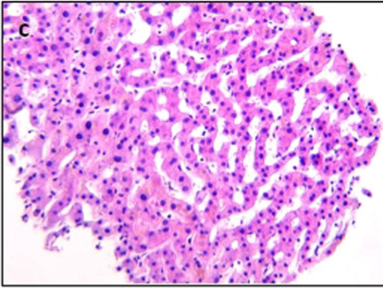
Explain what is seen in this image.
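This is liver tissue made up of hepatocytes arranged in plates that branch and join one another. The hepatocytes are large polygonal cells with pink cytoplasm and a round, dark-staining nucleus near the middle of each cell. The plates in places appear thin and irregular, giving the tissue a lace-like pattern. A few smaller dark nuclei lie along the edges of the sinusoids among the hepatocytes.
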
